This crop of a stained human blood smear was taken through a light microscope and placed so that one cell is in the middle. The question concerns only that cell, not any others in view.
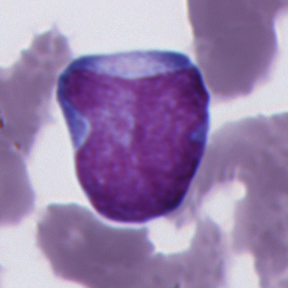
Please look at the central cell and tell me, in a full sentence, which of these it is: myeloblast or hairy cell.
Where the crop is centred, there is a myeloblast.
